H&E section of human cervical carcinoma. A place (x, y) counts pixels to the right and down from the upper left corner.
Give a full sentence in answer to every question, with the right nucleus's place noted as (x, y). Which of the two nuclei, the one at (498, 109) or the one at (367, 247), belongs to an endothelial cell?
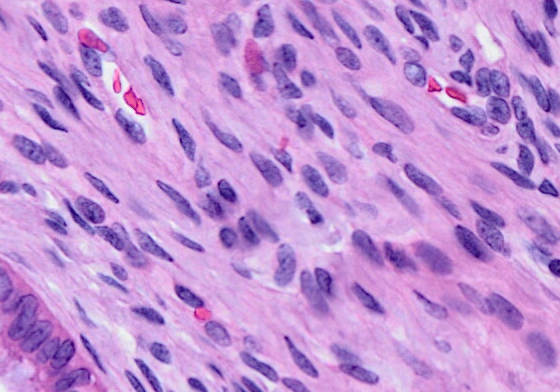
The nucleus at (498, 109) is attributed to an endothelial cell, unlike the other nucleus.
